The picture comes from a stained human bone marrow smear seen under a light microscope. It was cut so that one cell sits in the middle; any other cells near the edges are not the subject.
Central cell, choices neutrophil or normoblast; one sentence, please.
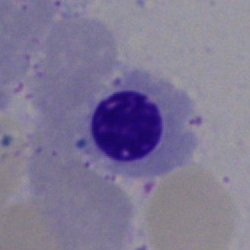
The cell shown in the center of this light-microscope crop is a normoblast.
